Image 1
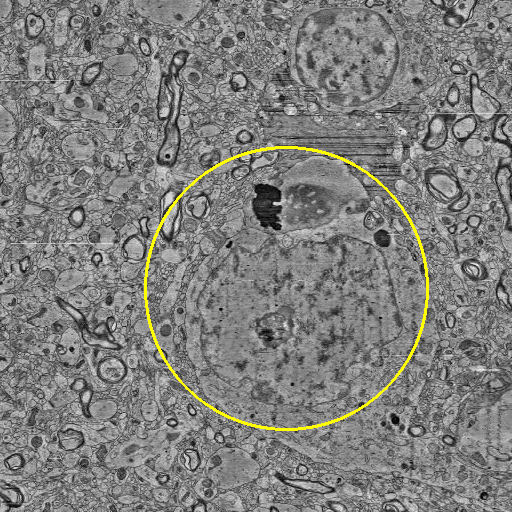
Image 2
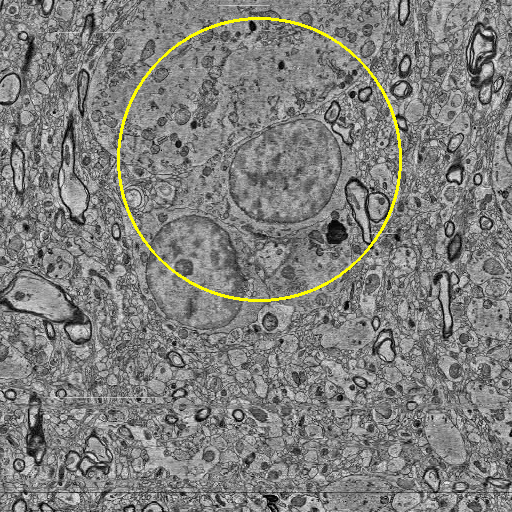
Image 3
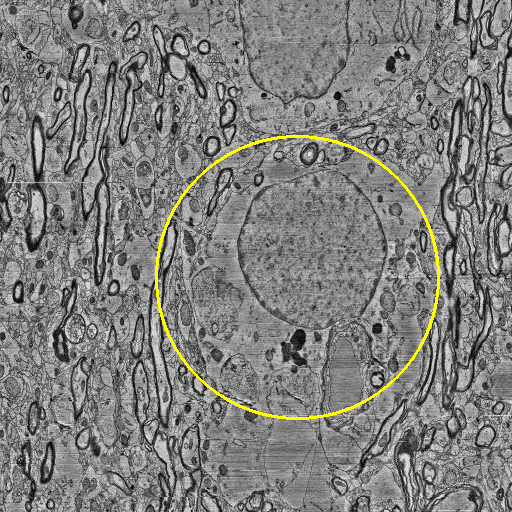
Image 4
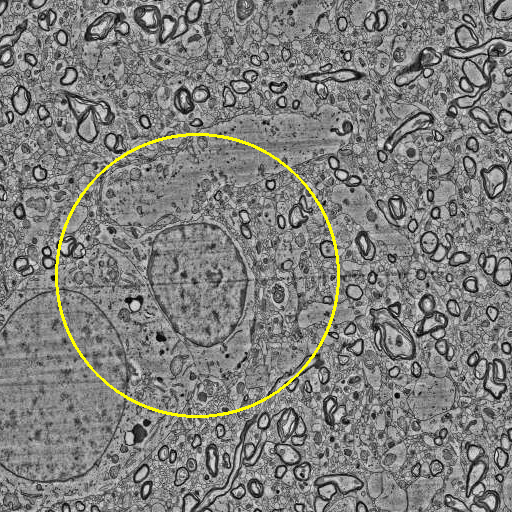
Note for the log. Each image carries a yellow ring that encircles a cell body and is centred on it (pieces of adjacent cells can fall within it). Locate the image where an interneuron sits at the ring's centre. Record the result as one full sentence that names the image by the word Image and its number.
Image 1 has the wanted cell sitting at the centre of its ring.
